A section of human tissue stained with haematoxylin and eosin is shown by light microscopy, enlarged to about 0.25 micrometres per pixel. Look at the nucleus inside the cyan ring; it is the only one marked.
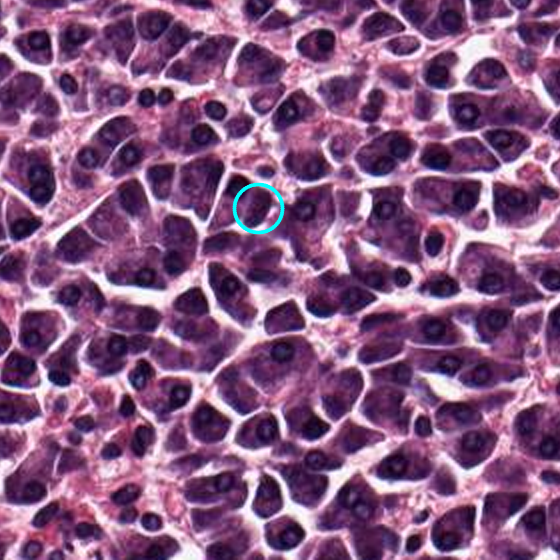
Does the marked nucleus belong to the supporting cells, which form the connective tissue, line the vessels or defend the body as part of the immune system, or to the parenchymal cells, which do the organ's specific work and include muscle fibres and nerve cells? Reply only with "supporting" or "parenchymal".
parenchymal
